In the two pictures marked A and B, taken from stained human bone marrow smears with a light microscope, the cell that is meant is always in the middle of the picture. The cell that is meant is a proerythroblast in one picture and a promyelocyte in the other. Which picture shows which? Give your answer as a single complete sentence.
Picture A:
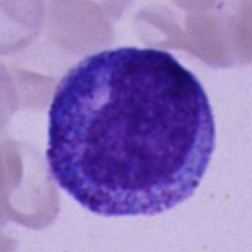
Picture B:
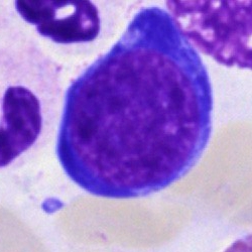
Picture A shows a promyelocyte and picture B shows a proerythroblast.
